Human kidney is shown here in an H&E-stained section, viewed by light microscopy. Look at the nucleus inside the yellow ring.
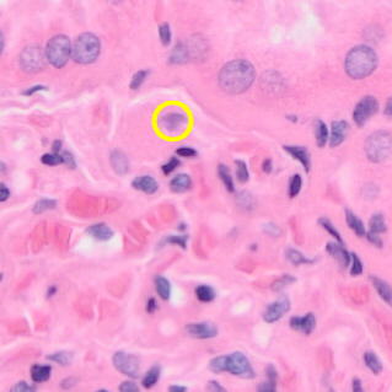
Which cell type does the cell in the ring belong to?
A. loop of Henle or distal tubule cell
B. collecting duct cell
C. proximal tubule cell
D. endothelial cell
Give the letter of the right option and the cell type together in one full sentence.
Option D is the one that fits, as the cell in the ring is an endothelial cell.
